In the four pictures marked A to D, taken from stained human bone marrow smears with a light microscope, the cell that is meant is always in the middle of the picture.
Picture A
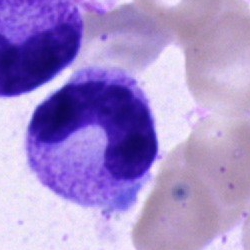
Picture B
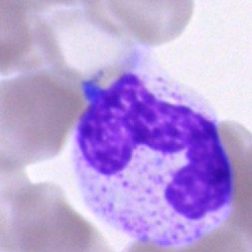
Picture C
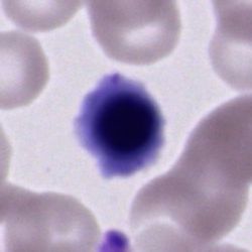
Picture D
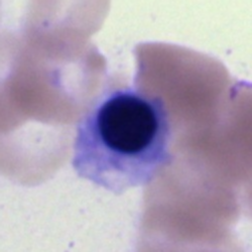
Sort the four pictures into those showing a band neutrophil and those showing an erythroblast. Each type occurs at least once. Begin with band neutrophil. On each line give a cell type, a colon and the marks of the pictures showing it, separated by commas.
band neutrophil: A, B
erythroblast: C, D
